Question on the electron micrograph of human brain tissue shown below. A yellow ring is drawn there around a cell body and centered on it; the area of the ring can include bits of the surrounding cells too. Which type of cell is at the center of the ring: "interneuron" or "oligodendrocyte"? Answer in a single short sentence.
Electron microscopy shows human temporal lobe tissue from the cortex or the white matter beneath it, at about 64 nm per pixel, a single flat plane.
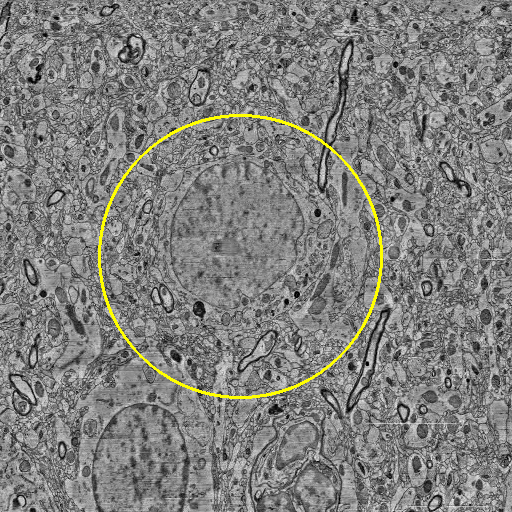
The ring is centered on an interneuron.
